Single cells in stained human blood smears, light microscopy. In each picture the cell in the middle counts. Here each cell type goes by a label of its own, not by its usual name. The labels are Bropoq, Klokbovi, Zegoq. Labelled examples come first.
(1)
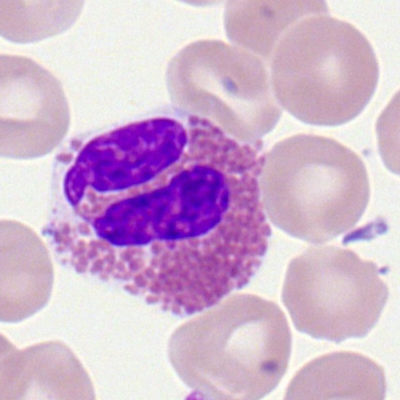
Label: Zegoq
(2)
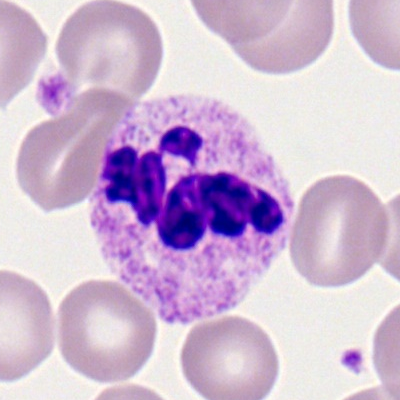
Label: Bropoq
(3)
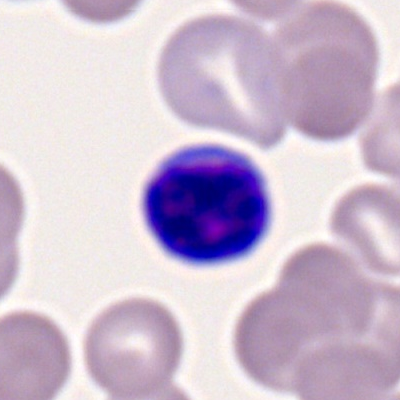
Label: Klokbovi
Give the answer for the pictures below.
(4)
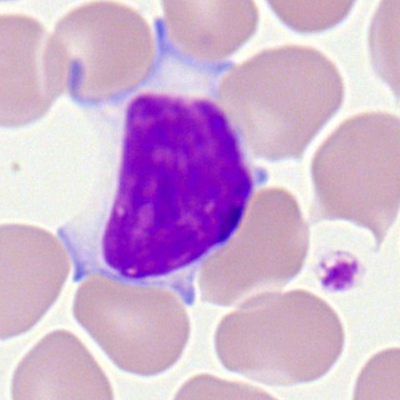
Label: Klokbovi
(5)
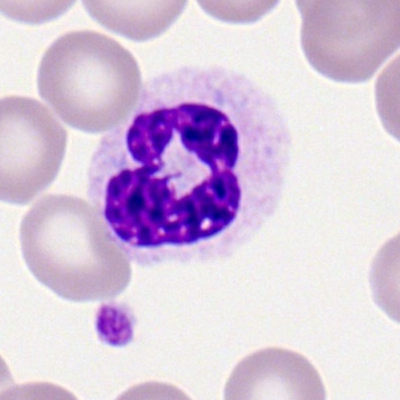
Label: Bropoq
